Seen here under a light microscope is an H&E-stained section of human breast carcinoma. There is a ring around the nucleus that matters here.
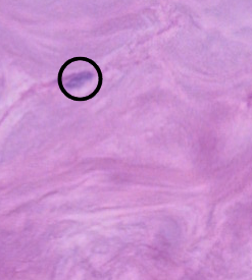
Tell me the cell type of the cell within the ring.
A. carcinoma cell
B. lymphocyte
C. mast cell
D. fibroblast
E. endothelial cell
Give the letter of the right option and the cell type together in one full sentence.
In this section the cell within the ring is a fibroblast; option D is therefore correct.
